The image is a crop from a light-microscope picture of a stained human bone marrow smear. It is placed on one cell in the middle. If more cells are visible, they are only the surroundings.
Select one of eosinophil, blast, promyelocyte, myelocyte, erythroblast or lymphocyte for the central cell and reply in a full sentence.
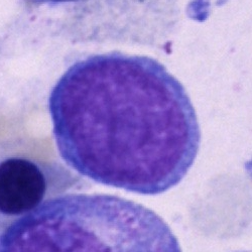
The target cell in the middle of the crop is a blast.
